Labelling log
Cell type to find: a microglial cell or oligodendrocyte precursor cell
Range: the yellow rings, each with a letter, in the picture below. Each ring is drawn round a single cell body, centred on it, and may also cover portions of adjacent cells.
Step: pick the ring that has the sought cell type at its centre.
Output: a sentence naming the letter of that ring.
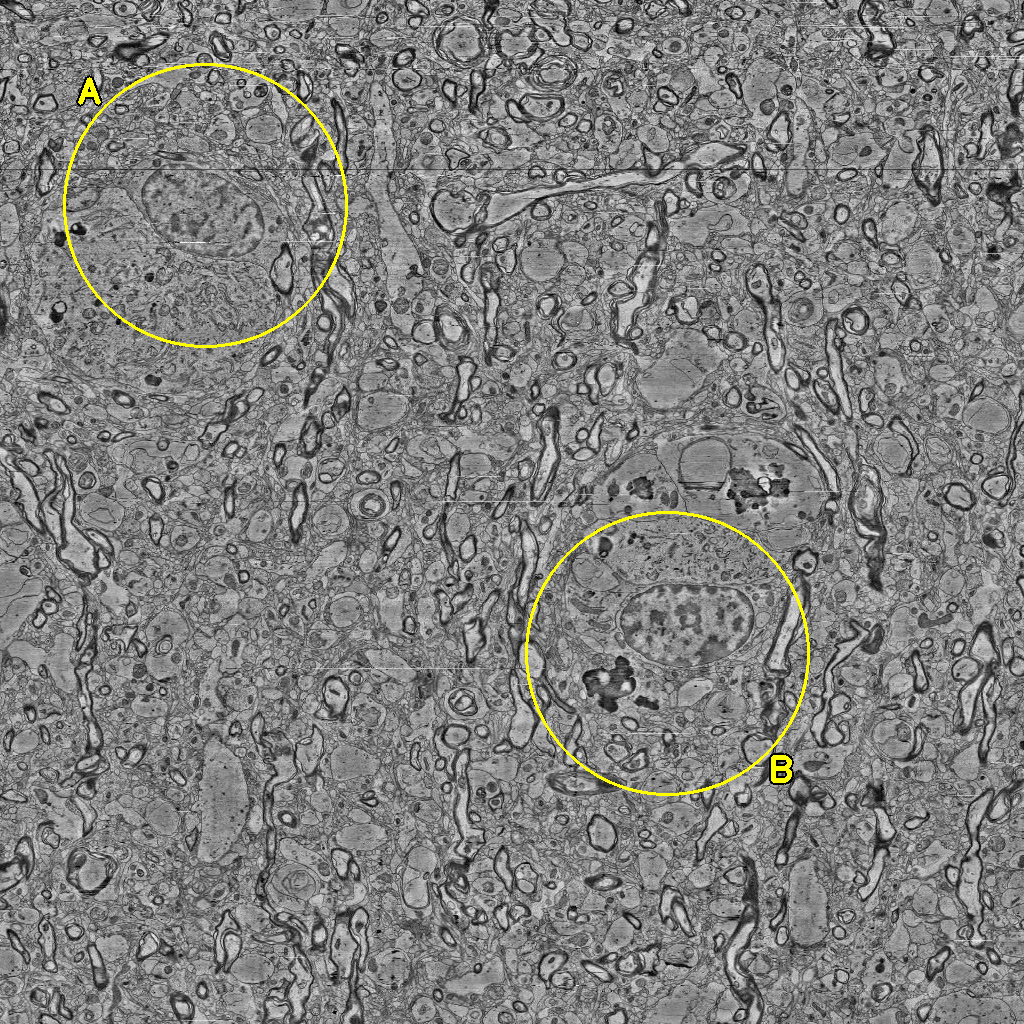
Ring B is the one with the cell asked for at its centre.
